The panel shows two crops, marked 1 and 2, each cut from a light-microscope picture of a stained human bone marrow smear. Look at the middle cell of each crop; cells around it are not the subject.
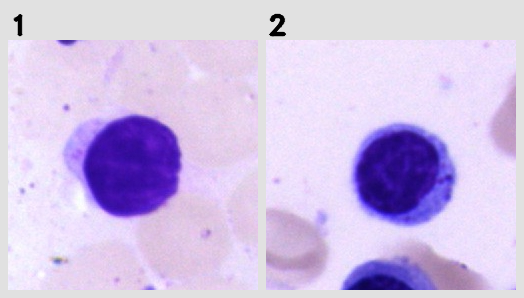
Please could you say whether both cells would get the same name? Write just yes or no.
yes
